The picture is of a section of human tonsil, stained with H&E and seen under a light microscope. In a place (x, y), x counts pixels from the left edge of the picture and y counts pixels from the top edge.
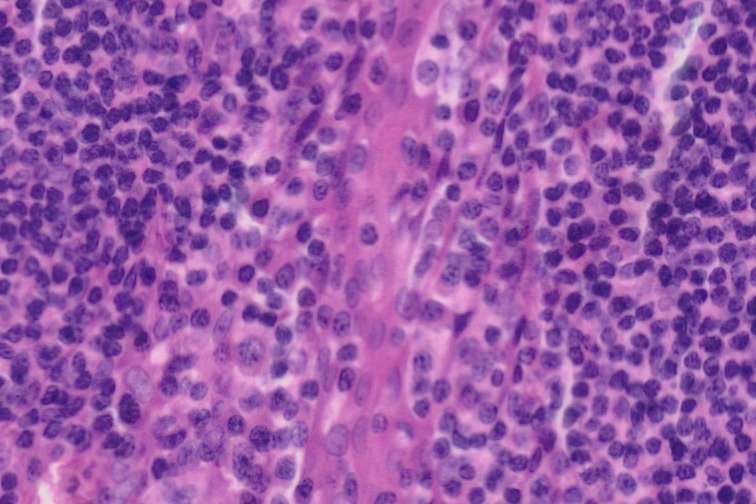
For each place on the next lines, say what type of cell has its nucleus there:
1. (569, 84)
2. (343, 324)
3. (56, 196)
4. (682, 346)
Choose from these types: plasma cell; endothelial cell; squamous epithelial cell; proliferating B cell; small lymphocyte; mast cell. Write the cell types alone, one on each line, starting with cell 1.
small lymphocyte
plasma cell
small lymphocyte
small lymphocyte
